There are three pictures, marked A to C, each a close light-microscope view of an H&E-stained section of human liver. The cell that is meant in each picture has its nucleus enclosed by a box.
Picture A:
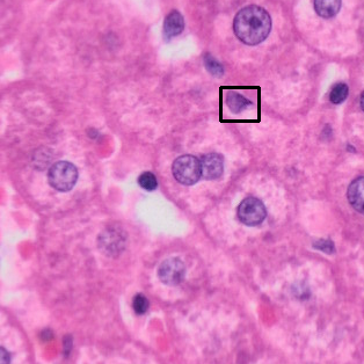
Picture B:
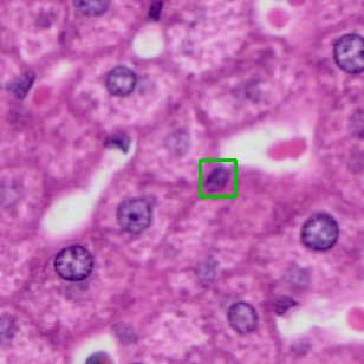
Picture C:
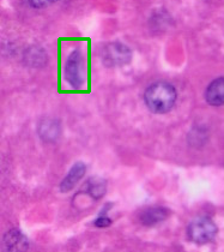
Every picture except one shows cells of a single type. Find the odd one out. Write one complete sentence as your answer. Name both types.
All pictures except B show endothelial cells; picture B shows a “fibroblast or stellate cell”.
